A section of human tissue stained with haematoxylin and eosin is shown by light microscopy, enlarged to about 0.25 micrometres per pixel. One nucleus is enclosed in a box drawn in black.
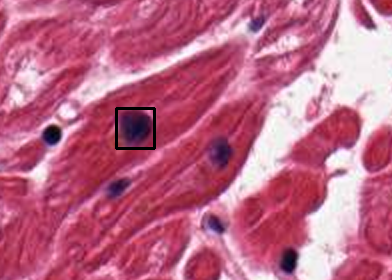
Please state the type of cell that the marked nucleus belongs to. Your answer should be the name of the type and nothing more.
cardiomyocyte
